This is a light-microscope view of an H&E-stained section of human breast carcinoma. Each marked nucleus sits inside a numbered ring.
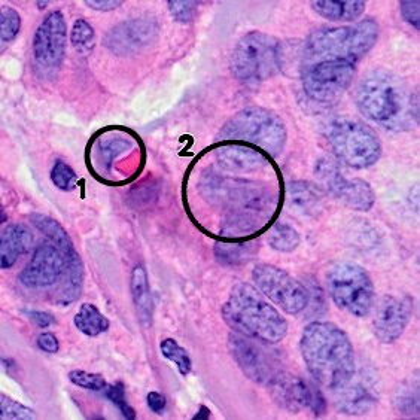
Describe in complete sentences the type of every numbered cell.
Cell 1 is an endothelial cell. Cell 2 is a carcinoma cell.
